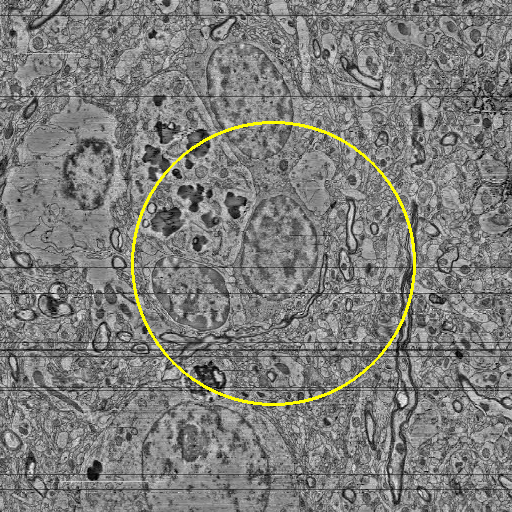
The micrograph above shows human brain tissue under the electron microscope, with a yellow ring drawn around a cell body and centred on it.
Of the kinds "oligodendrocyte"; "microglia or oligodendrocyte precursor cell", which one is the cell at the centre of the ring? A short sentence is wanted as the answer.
The one at the centre of the ring is an oligodendrocyte.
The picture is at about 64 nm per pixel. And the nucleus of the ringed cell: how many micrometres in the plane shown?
In this plane, roughly 7 by 5 micrometres.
